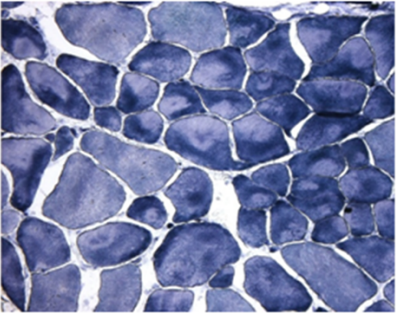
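Cross-sectioned skeletal muscle fibres of varying size are stained blue, with slightly widened pale spaces between some of them. Many fibres contain a paler, poorly stained zone that sits off-centre in the fibre, while the rest of the fibre stays darker blue.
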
